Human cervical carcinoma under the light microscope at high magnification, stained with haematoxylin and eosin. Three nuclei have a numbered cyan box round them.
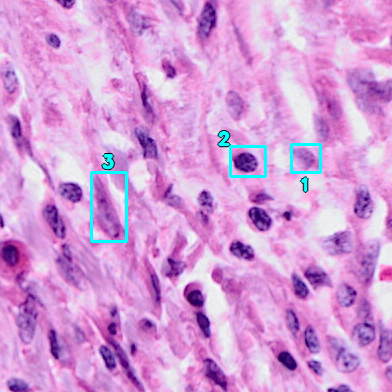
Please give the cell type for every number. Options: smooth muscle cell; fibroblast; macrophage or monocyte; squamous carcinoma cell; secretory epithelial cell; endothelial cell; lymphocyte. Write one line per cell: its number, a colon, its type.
1: fibroblast
2: lymphocyte
3: fibroblast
